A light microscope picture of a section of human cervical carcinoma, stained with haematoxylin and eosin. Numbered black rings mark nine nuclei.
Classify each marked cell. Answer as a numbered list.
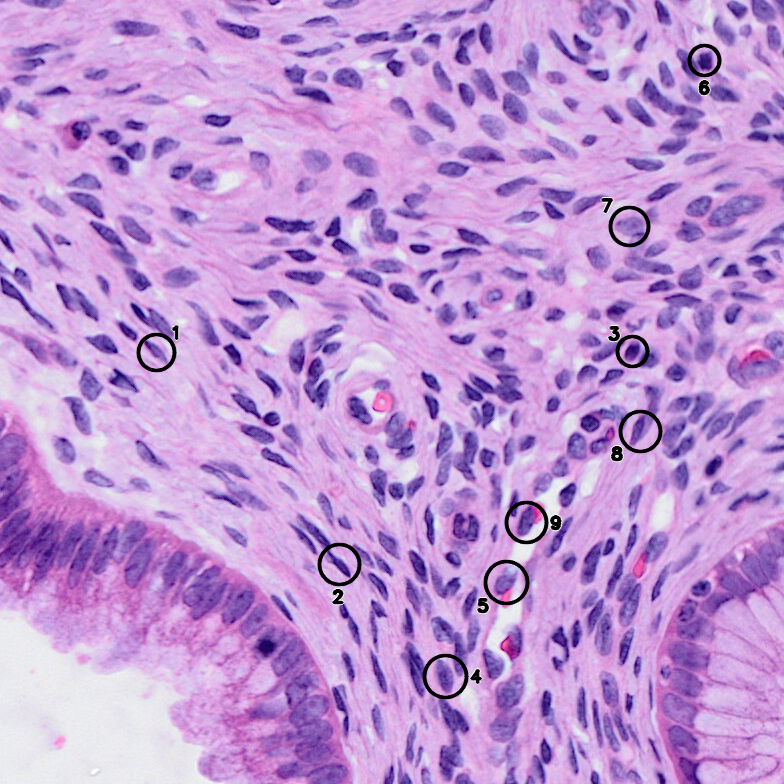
1. fibroblast
2. fibroblast
3. lymphocyte
4. fibroblast
5. endothelial cell
6. lymphocyte
7. fibroblast
8. fibroblast
9. endothelial cell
